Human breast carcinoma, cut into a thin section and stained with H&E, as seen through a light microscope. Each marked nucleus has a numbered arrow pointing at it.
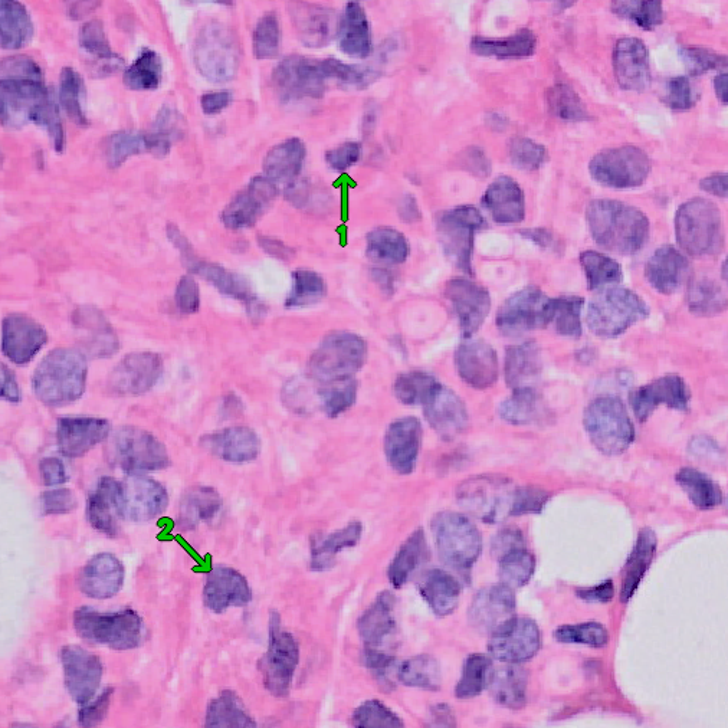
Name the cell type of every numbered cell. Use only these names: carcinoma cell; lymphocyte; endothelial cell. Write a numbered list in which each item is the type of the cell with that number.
1. lymphocyte
2. carcinoma cell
